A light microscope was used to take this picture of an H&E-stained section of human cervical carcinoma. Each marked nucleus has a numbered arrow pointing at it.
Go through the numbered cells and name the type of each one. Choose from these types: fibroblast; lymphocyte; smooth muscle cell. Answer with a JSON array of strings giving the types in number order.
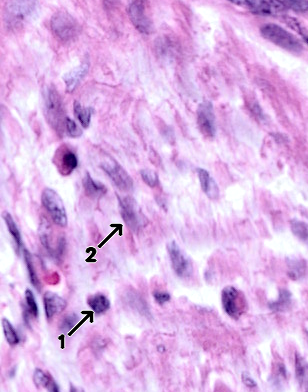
["lymphocyte", "fibroblast"]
